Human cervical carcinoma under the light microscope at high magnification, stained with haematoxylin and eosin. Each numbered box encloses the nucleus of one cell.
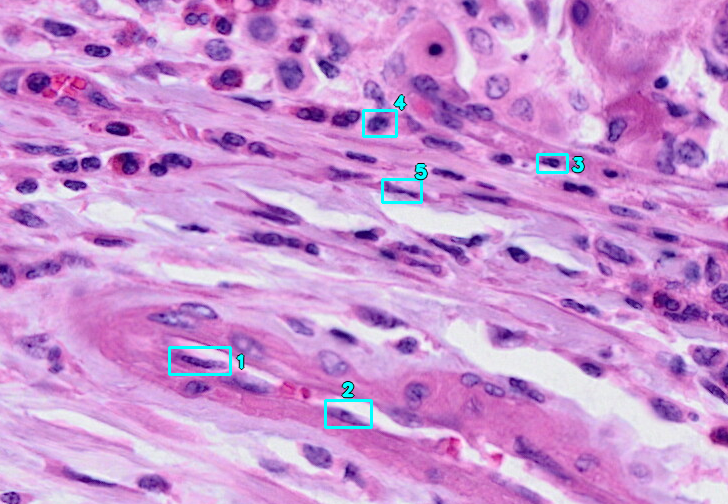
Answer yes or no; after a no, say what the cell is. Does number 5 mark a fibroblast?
Yes.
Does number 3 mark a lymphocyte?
Yes.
